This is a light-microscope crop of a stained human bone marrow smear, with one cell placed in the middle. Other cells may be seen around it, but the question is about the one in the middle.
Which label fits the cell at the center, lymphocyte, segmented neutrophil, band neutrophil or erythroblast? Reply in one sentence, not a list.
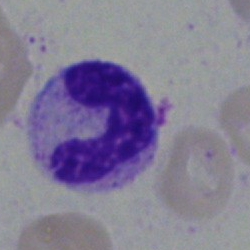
To answer, the cell in the center of the crop is a band neutrophil.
